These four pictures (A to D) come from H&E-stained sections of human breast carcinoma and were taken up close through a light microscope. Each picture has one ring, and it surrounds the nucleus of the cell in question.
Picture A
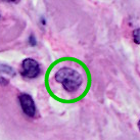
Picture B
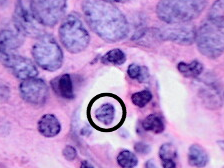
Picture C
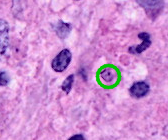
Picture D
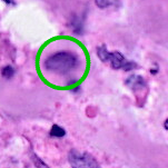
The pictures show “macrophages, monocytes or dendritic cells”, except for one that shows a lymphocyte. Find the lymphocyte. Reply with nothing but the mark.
B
